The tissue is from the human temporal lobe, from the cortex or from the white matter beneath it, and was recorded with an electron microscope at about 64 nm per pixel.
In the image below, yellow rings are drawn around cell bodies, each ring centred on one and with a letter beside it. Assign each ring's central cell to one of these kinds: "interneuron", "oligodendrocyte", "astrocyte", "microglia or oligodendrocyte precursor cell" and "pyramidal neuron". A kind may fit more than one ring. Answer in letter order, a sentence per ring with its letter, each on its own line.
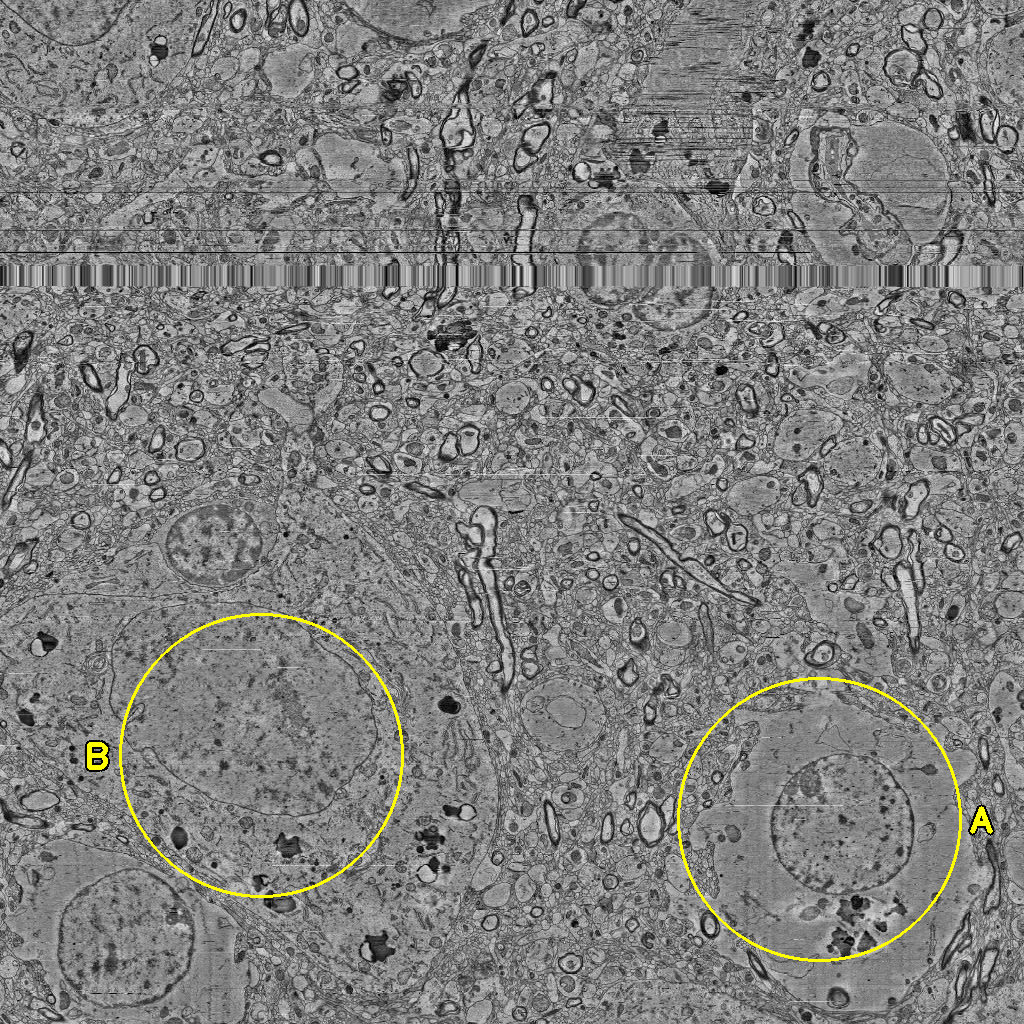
The central cell of ring A is an astrocyte.
The central cell of ring B is a pyramidal neuron.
